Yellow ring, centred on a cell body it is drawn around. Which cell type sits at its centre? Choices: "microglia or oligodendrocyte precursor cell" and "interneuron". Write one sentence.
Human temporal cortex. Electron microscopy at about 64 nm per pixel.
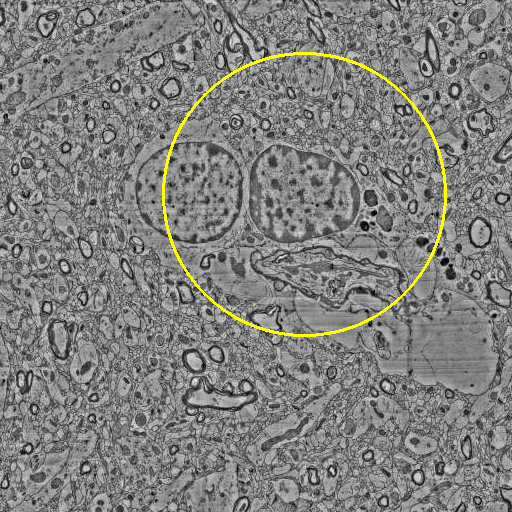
At the centre of the ring sits a microglial cell or oligodendrocyte precursor cell.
